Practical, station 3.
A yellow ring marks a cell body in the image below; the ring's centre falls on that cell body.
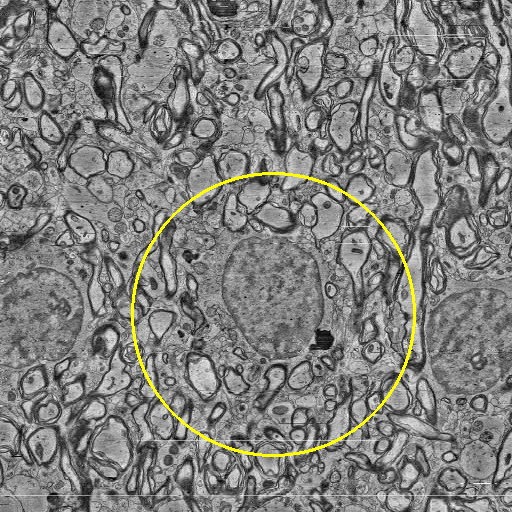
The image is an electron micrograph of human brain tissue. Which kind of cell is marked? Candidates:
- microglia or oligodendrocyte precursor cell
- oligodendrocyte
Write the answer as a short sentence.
The marked cell body is that of an oligodendrocyte.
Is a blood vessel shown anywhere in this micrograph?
No, there is no blood vessel.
